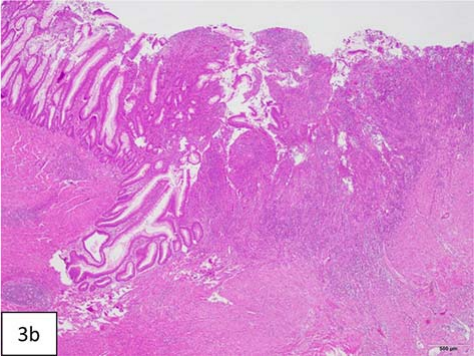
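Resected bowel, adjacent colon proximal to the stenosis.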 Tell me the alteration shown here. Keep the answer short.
Mucosal ulceration.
